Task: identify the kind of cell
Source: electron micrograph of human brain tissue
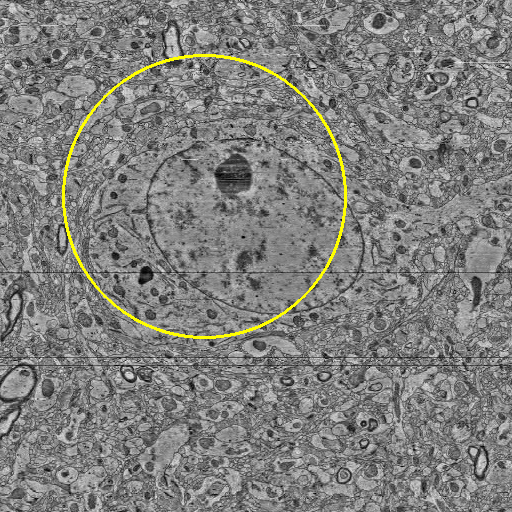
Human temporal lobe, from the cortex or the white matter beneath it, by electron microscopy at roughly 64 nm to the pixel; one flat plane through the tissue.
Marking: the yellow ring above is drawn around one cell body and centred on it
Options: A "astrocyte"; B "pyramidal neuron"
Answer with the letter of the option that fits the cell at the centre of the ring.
B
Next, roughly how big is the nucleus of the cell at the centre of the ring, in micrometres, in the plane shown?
In this plane, roughly 15 by 11 micrometres.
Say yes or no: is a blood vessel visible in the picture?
No, no blood vessel shows in the picture.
